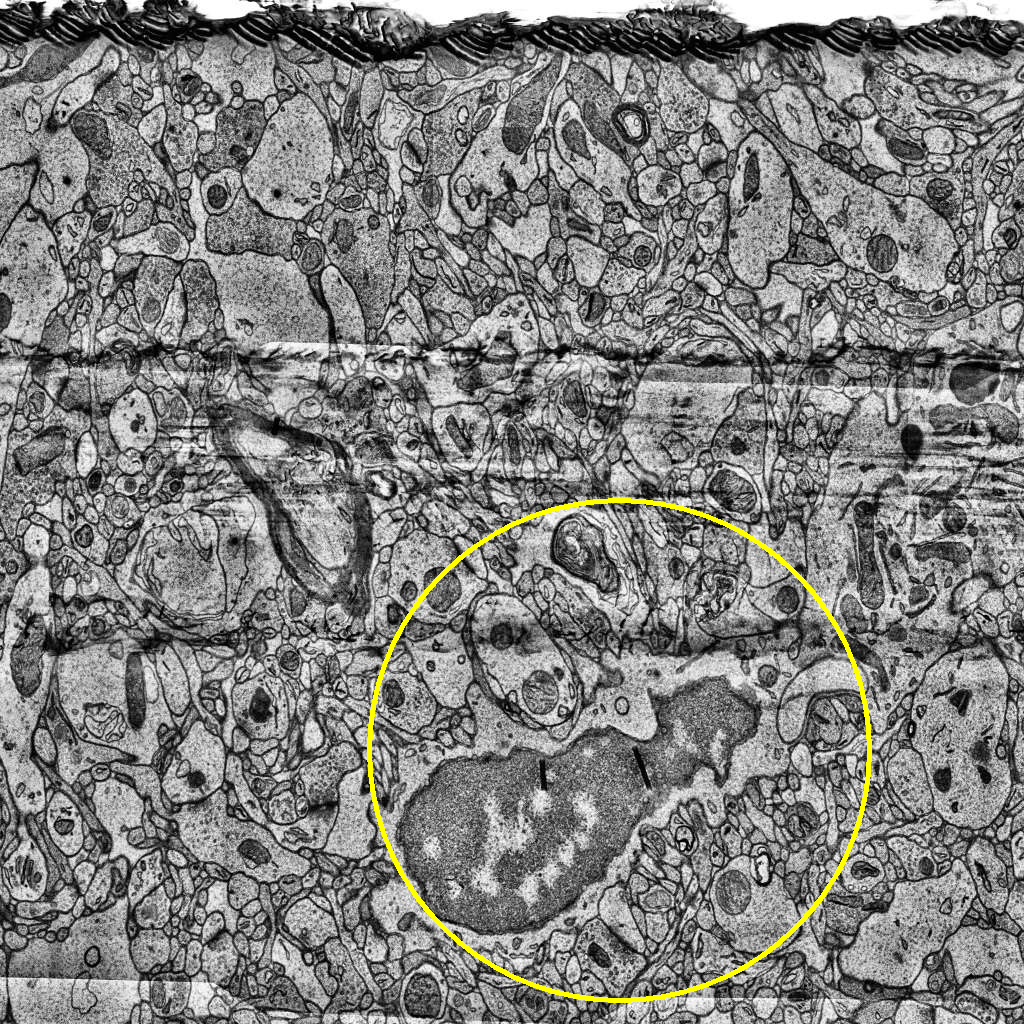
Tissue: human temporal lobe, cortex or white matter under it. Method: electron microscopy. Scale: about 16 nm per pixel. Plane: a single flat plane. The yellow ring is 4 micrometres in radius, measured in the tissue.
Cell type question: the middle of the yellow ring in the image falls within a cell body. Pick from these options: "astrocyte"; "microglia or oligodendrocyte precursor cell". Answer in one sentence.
The cell body at the center of the ring belongs to a microglial cell or oligodendrocyte precursor cell.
